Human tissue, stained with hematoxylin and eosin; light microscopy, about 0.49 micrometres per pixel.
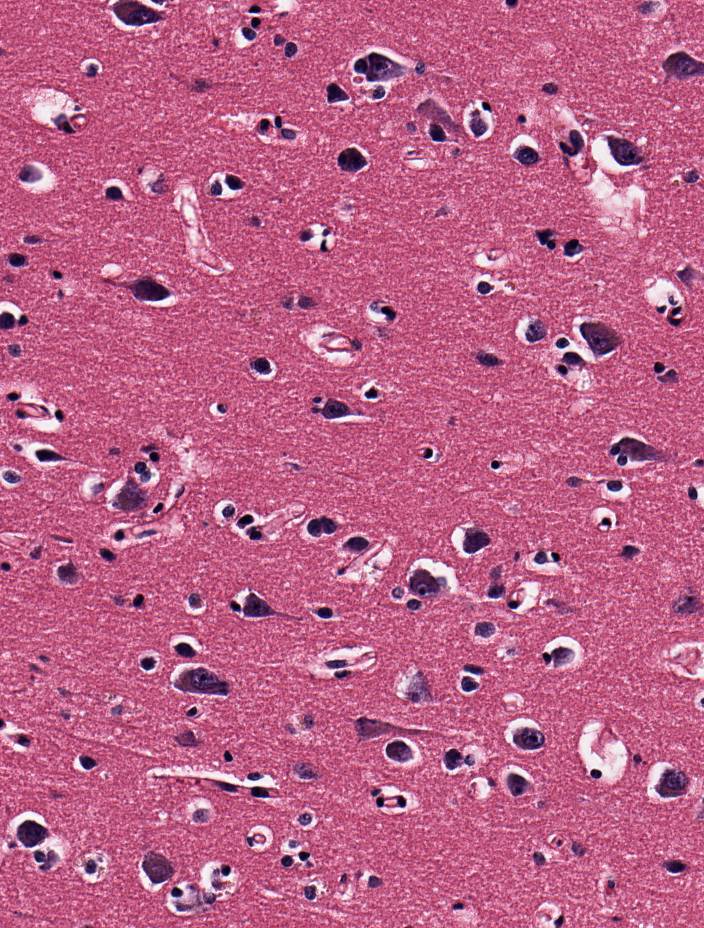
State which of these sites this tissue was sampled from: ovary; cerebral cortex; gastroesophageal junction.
cerebral cortex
